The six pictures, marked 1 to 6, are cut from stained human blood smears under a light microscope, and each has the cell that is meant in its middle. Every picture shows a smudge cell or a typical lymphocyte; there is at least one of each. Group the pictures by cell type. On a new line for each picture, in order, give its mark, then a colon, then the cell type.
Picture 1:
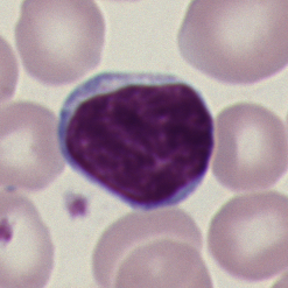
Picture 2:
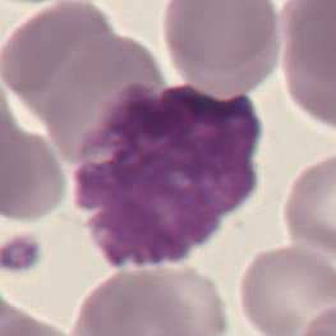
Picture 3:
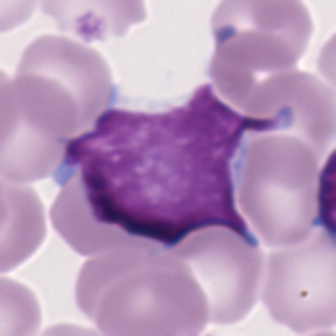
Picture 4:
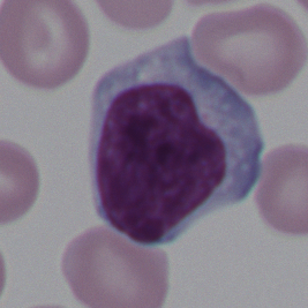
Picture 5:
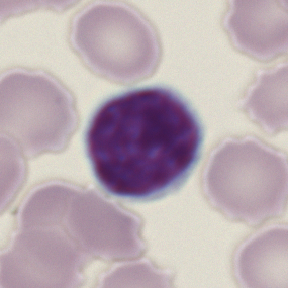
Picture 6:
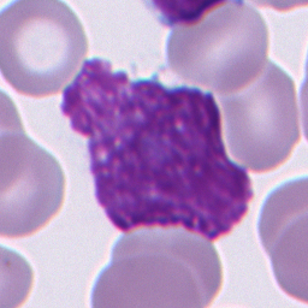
1: typical lymphocyte
2: smudge cell
3: typical lymphocyte
4: typical lymphocyte
5: typical lymphocyte
6: smudge cell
